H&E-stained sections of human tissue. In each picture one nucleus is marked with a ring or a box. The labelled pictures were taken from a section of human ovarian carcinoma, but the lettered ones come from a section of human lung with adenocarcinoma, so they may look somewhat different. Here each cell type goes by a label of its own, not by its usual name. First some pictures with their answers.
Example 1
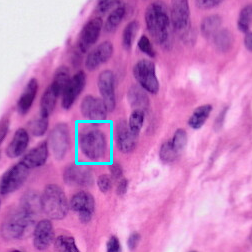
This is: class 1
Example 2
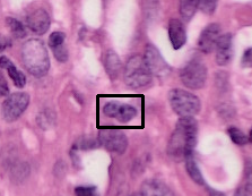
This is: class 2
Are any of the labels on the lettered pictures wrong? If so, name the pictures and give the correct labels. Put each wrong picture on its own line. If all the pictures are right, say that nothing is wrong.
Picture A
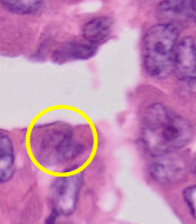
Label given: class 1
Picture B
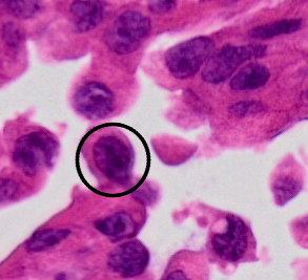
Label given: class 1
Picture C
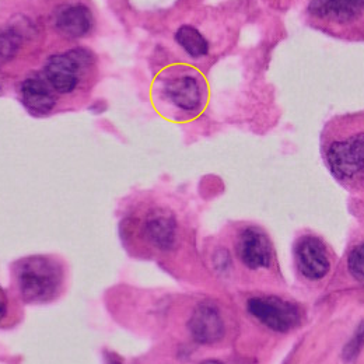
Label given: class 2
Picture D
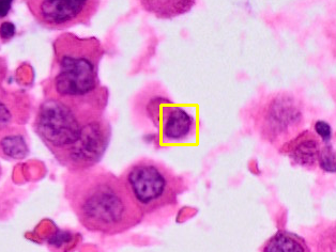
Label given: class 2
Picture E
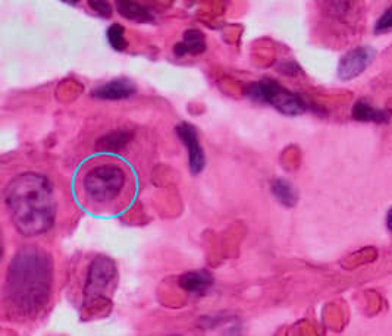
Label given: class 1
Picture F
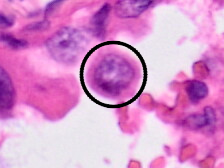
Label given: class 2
E should be class 2, not class 1
F should be class 1, not class 2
